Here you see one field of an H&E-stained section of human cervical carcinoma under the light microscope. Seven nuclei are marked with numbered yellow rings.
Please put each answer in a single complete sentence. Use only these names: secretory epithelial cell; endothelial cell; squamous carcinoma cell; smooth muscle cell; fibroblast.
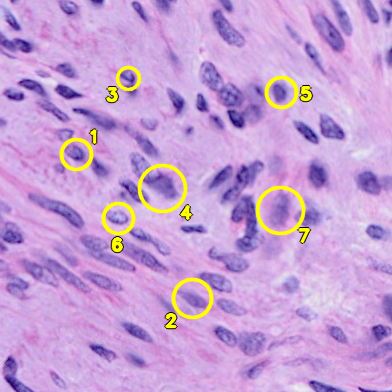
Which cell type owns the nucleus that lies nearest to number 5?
The nucleus nearest to number 5 is that of an endothelial cell.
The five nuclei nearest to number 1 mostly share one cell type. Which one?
Around number 1, most of the five nearest nuclei are those of smooth muscle cells.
